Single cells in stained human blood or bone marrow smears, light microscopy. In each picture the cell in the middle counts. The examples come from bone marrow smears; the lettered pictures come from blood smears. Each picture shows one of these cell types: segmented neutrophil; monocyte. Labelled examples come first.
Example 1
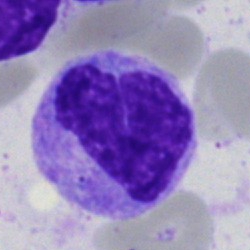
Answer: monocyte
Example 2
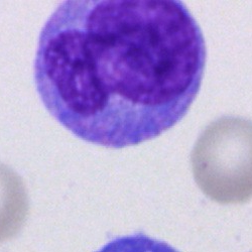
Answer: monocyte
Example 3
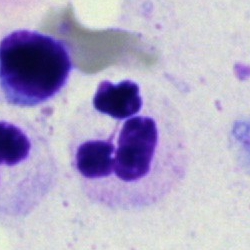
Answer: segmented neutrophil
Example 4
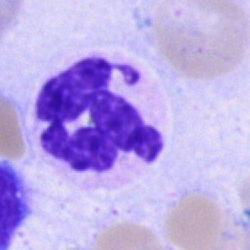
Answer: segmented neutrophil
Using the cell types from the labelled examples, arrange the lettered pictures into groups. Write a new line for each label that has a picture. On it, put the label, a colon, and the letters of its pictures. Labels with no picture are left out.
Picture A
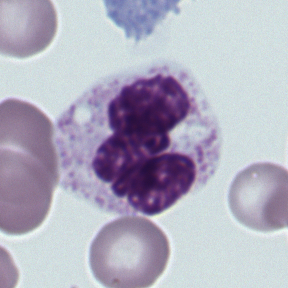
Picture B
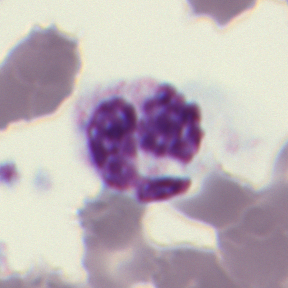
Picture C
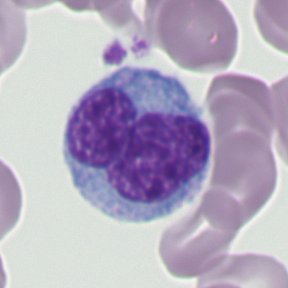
segmented neutrophil: A, B
monocyte: C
